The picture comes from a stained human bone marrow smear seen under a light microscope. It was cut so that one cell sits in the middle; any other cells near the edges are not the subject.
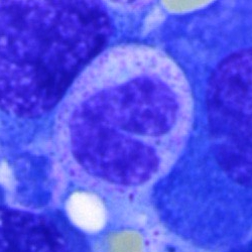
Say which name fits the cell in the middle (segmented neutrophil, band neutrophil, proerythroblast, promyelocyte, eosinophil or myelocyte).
band neutrophil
